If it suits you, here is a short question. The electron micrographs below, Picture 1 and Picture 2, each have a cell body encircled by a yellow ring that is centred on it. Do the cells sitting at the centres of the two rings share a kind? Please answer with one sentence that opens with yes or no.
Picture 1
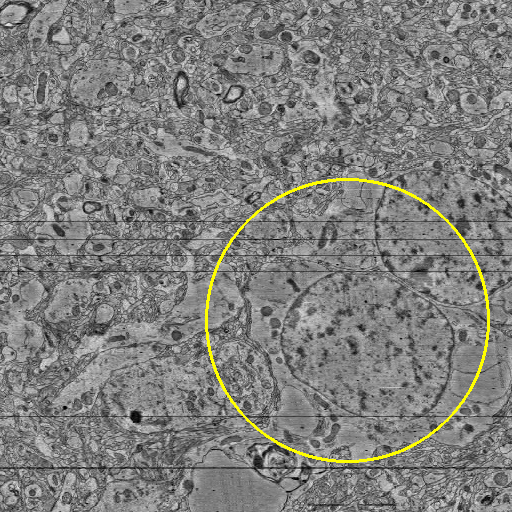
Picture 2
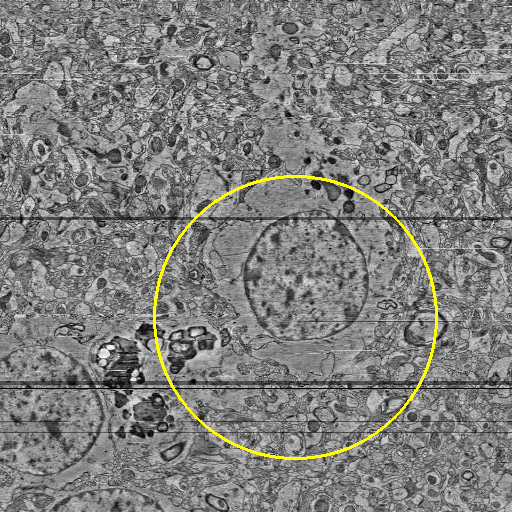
Yes, the two cells sitting at the ring centres share a single kind.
